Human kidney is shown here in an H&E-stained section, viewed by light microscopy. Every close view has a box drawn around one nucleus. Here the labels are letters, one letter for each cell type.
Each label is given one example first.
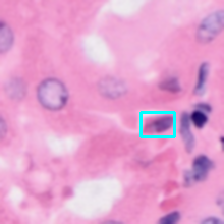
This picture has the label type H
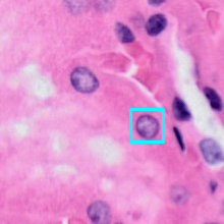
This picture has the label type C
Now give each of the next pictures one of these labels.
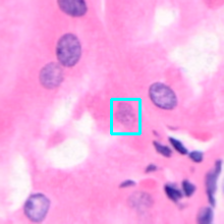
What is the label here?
type C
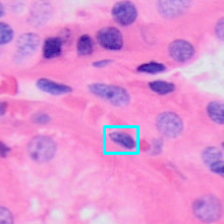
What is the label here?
type H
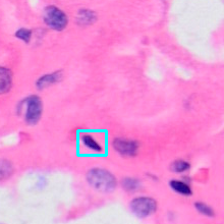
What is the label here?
type H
